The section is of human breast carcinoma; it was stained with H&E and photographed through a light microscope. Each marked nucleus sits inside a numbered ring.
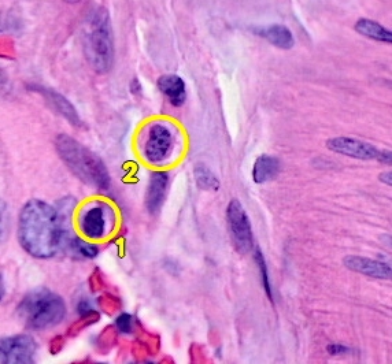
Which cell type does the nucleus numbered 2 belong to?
mast cell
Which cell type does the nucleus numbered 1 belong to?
lymphocyte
